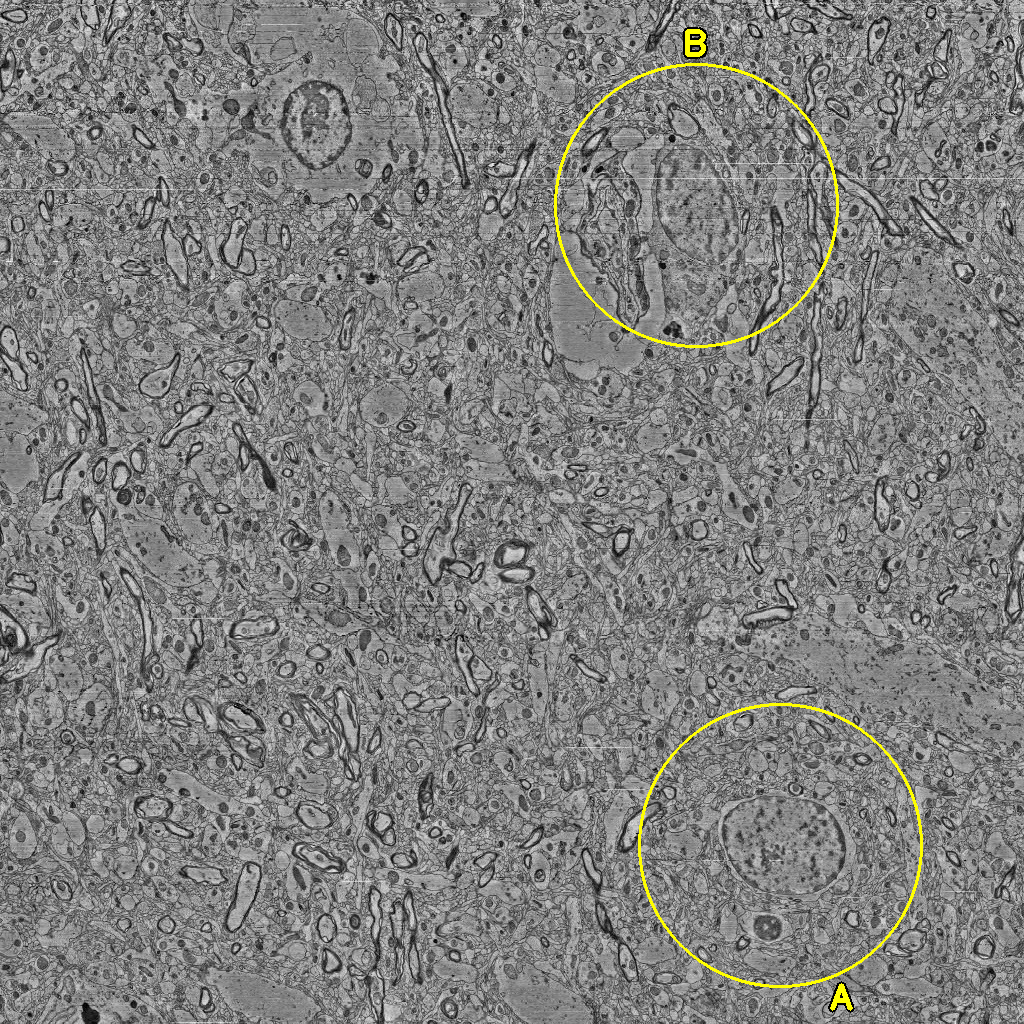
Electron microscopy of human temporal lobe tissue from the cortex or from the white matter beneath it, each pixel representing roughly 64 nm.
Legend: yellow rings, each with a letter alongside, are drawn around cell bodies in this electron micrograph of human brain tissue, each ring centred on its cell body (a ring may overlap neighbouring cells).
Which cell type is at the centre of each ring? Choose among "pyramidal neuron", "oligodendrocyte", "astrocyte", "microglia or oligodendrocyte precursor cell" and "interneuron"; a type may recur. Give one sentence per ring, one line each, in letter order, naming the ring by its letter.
Ring A has a microglial cell or oligodendrocyte precursor cell at its centre.
Ring B has an oligodendrocyte at its centre.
